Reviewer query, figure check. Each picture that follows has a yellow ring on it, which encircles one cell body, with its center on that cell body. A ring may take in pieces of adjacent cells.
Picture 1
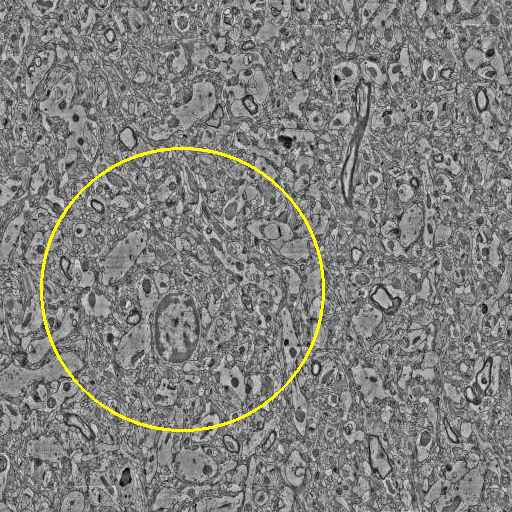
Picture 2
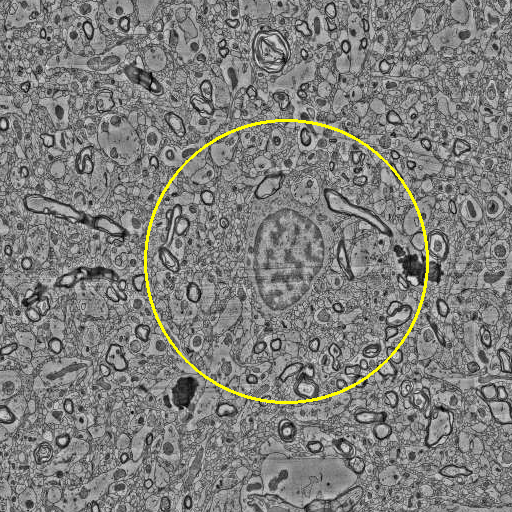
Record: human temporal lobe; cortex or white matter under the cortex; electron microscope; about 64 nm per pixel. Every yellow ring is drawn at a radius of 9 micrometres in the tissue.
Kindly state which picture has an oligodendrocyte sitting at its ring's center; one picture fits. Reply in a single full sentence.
In picture 2, the cell at the center of the ring is the requested one.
